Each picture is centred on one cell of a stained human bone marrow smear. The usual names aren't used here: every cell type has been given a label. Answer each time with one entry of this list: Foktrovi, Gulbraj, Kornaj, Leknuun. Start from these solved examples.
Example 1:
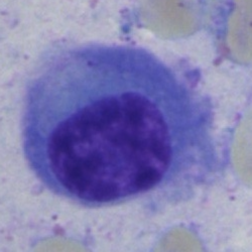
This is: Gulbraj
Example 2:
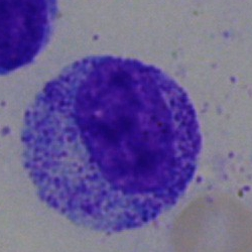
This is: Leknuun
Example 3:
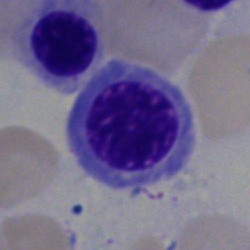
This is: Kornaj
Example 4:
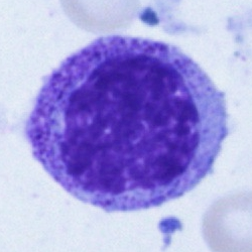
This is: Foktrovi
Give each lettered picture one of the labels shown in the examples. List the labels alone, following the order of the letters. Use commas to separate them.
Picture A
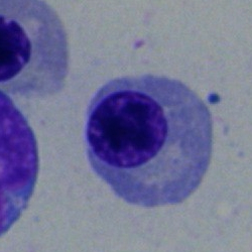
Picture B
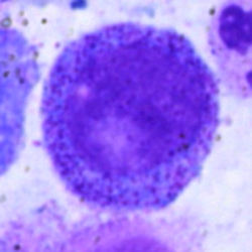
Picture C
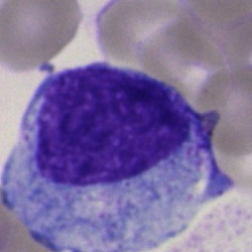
Kornaj, Foktrovi, Foktrovi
